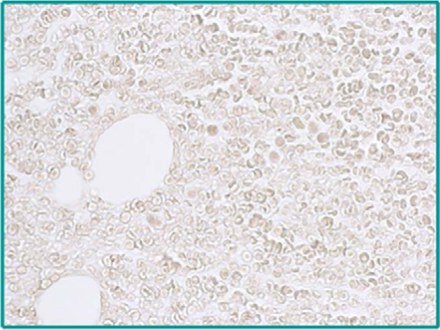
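Two large round empty spaces of fat cells lie on the left side of the field. The cells appear as pale round profiles with only a faint tan tint and no strongly brown cells are seen.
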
